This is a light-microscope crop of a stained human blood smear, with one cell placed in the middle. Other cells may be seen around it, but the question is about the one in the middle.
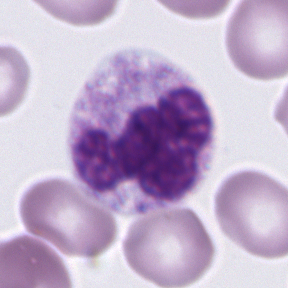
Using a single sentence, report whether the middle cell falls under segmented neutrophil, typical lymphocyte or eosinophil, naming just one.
The center cell of this crop is a segmented neutrophil.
